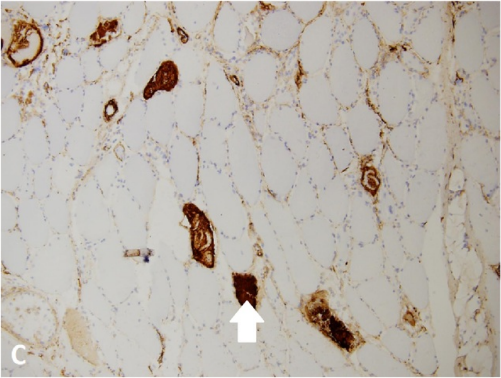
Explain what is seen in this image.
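Skeletal muscle in transverse section in which most myofibers are unstained and pale, with faint blue nuclei. A few scattered fibers are densely stained dark brown throughout their cytoplasm. Several smaller round profiles show brown staining as rings at their rim. The spaces between fibers carry only faint brown staining.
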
